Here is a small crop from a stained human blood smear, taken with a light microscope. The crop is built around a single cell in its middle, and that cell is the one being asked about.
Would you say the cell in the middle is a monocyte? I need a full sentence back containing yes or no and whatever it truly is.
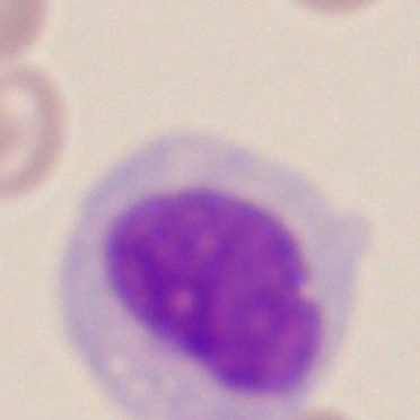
Yes, the middle cell is classified as a monocyte.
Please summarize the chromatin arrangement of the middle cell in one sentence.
The chromatin shows a fine pattern without coarse clumps.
